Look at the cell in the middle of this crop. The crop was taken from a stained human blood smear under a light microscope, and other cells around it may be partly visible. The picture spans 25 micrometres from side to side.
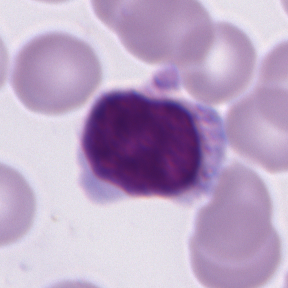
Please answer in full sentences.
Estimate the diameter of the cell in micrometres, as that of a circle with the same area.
Taken as a circle, the cell has a diameter of about 12 micrometres.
